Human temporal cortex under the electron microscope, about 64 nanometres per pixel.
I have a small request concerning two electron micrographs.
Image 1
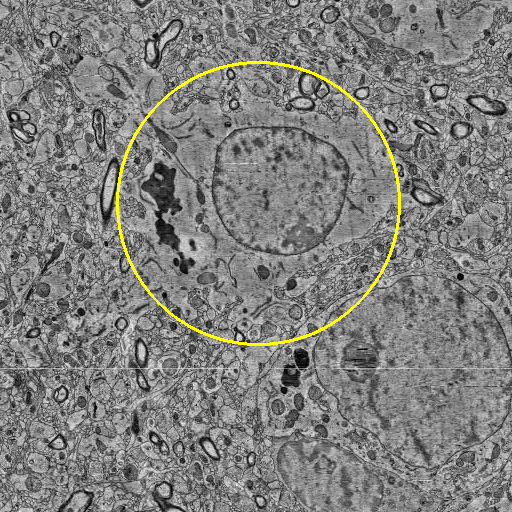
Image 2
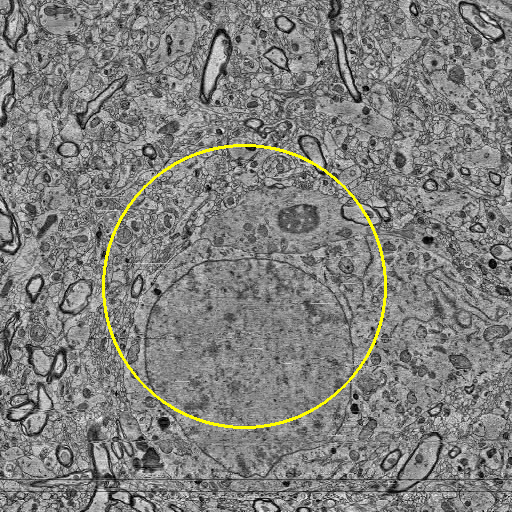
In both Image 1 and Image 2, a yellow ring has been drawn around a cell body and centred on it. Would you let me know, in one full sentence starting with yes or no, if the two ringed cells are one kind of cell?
No, the cells ringed in Image 1 and Image 2 are two kinds of cell.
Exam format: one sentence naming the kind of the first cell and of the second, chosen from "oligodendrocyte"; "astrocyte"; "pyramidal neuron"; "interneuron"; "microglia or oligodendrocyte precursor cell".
The first picture's cell is an astrocyte, and the second picture's cell is a pyramidal neuron.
